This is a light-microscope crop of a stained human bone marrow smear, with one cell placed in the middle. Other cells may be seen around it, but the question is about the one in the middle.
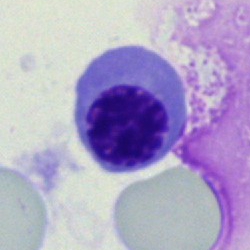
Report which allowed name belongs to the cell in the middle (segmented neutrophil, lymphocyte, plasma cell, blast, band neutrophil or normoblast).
normoblast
